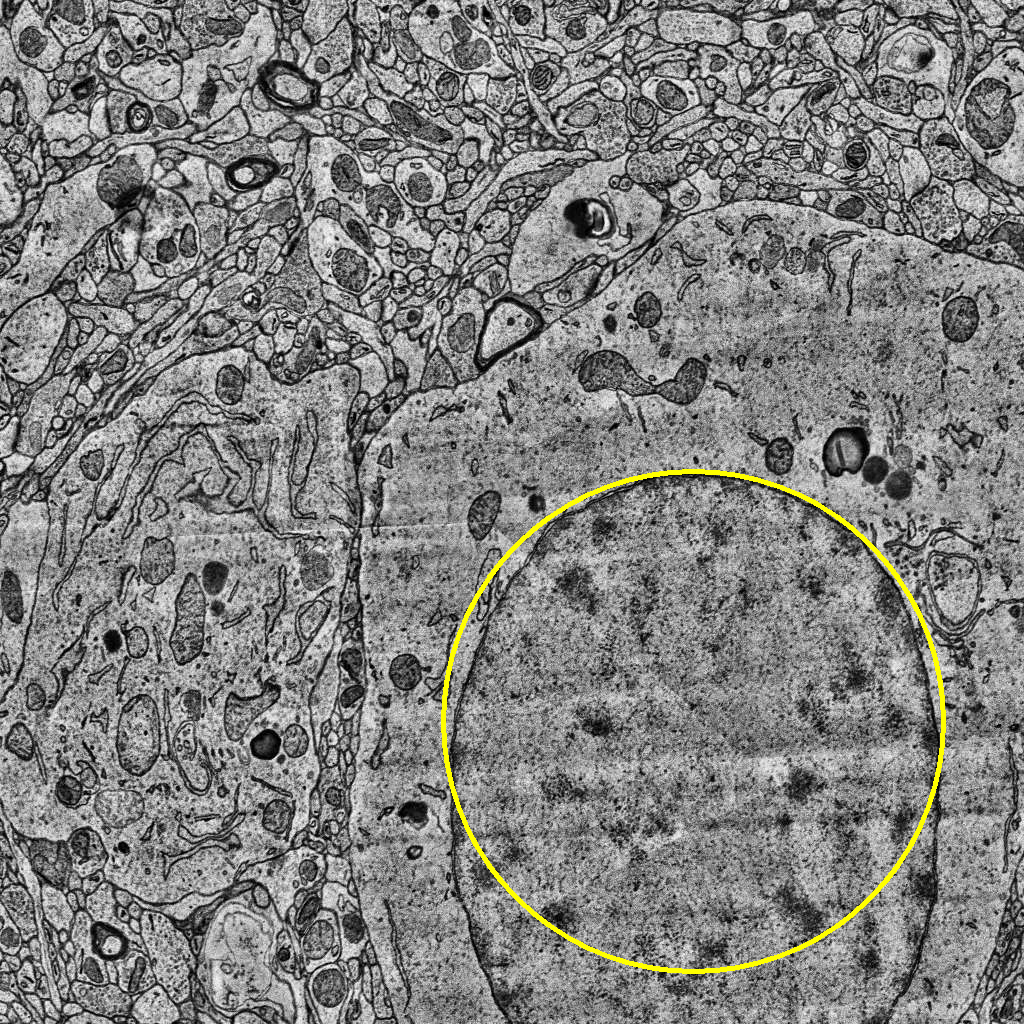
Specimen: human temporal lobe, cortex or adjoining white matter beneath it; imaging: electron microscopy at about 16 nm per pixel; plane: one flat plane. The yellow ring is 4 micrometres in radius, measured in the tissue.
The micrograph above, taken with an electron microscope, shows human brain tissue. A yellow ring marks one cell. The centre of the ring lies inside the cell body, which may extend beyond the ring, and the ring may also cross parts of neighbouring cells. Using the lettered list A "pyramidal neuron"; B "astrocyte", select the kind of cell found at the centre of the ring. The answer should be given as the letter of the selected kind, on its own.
A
